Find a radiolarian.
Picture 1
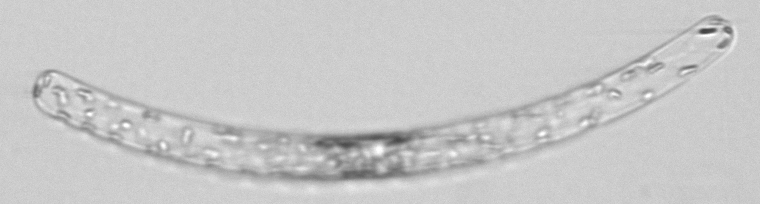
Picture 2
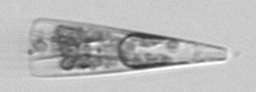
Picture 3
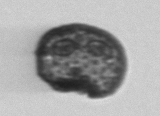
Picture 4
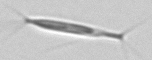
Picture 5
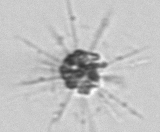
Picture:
5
